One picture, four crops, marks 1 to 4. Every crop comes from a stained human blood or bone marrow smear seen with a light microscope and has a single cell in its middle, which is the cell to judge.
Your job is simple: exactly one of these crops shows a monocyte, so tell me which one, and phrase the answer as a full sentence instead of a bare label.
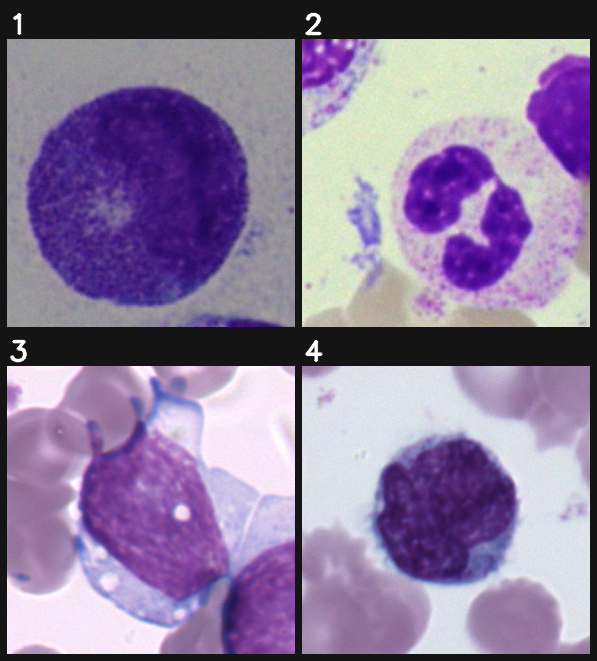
The correct choice is crop 4, the one showing a monocyte.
